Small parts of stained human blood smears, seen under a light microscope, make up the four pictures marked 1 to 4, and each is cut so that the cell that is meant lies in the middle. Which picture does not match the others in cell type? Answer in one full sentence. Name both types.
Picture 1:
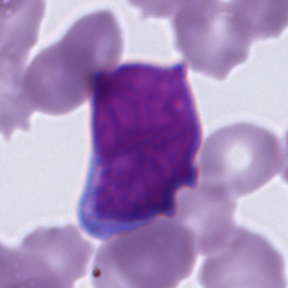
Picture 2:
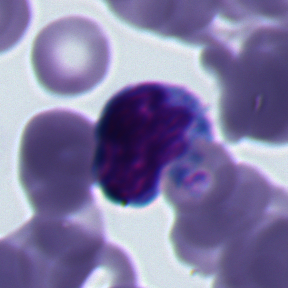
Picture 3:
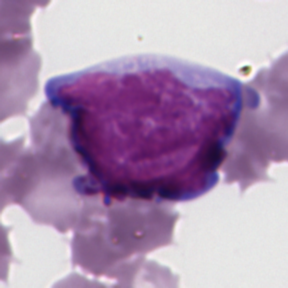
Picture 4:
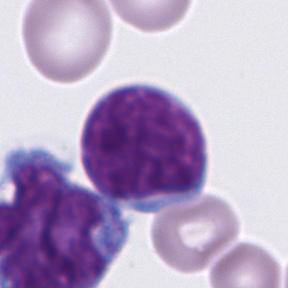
The others show myeloblasts, but picture 2 shows a typical lymphocyte.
